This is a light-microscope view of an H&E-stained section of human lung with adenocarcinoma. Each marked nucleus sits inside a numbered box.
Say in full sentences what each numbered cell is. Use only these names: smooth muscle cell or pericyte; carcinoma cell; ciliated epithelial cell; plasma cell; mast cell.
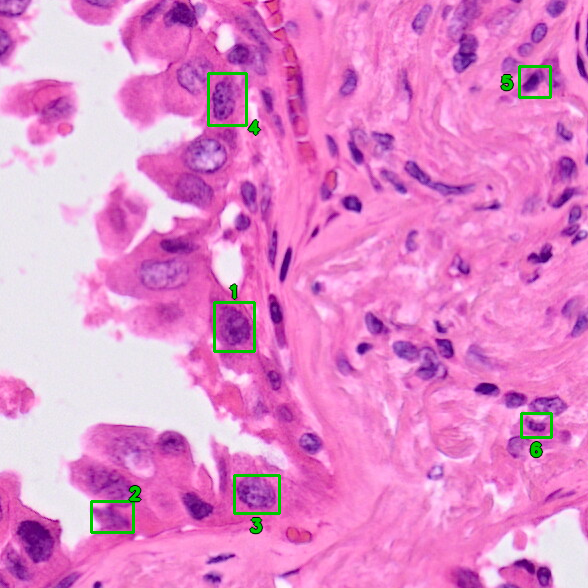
Cells 1, 2, 3 and 4 are carcinoma cells. Cells 5 and 6 are plasma cells.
